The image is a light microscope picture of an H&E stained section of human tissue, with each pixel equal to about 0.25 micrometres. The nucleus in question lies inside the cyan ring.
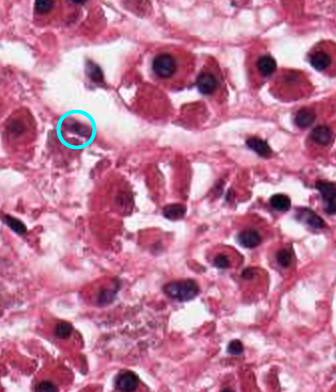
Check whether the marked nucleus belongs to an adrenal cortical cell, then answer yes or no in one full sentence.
No, the marked nucleus is not that of an adrenal cortical cell but that of a supporting cell.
